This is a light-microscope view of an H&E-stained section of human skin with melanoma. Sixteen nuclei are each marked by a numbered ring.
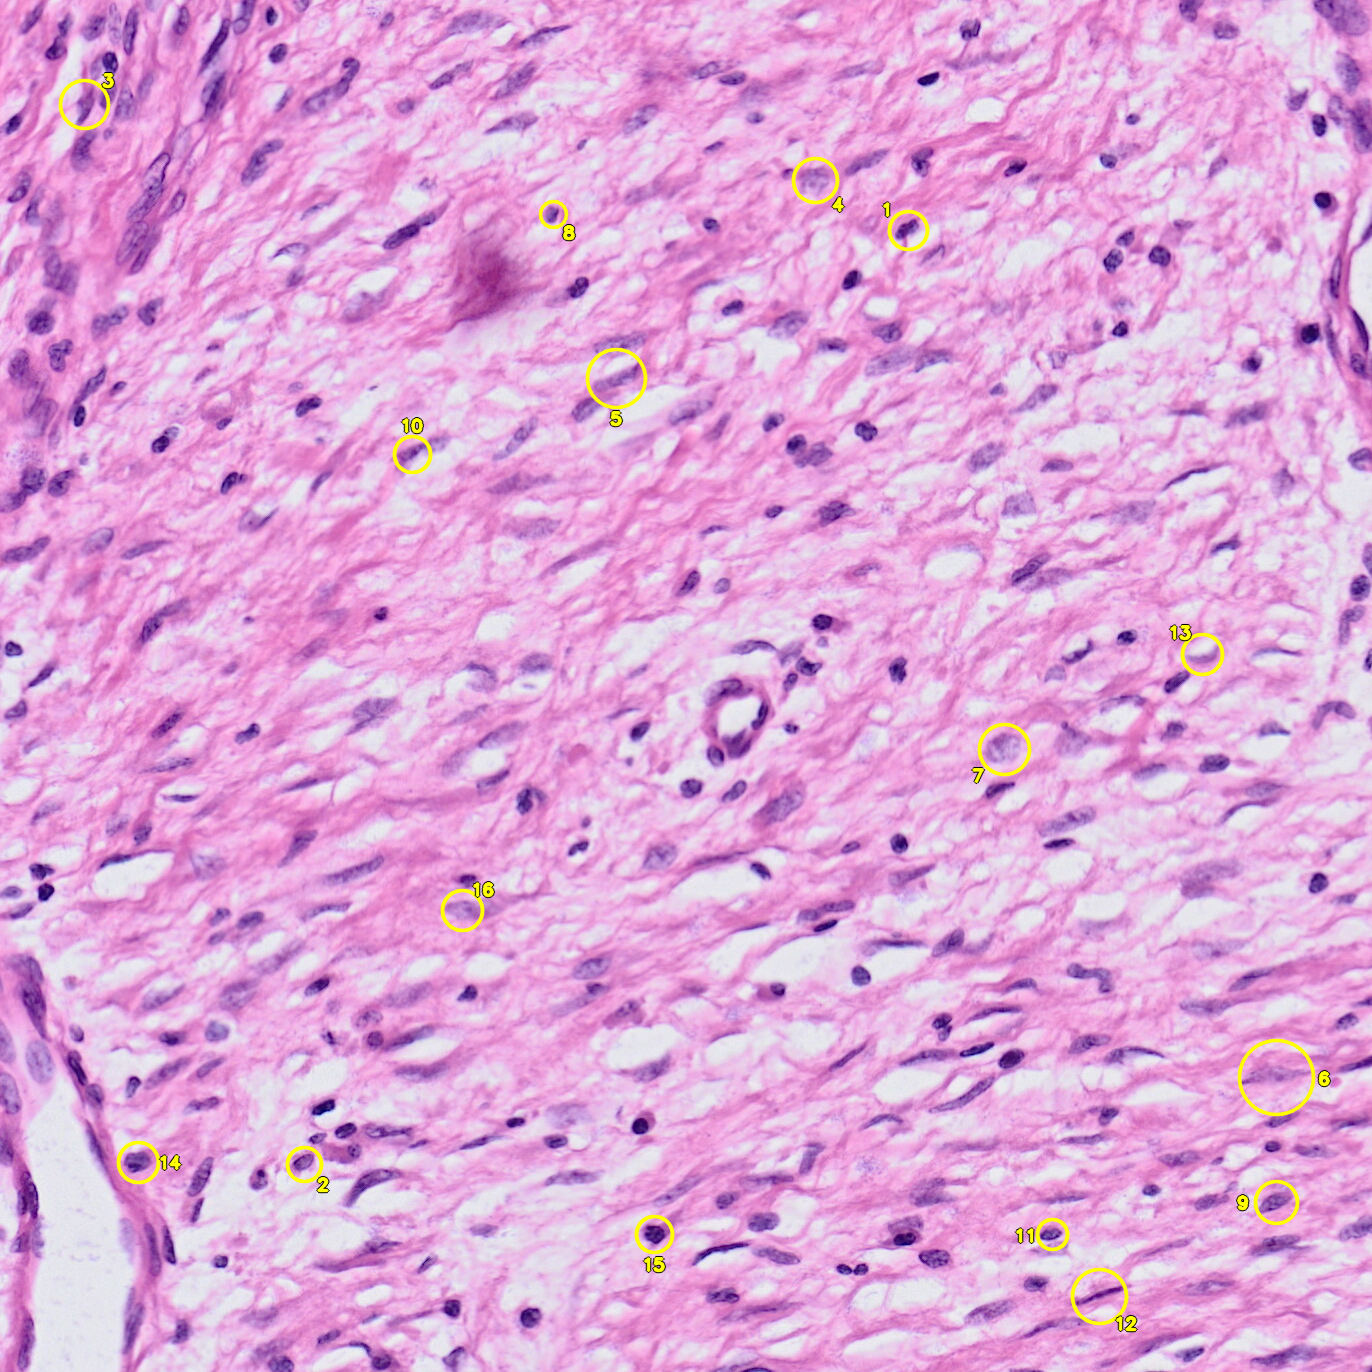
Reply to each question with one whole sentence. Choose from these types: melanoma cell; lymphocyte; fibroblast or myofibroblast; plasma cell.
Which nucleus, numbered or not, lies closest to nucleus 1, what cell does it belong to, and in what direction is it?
Just below and to the right of nucleus 1 lies the nearest nucleus, which belongs to a fibroblast or myofibroblast.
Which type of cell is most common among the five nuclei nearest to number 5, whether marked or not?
Fibroblasts or myofibroblasts make up most of the five nuclei closest to number 5.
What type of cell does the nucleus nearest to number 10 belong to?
It is a fibroblast or myofibroblast whose nucleus is nearest to number 10.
